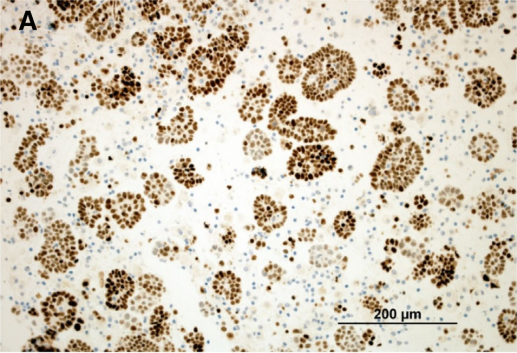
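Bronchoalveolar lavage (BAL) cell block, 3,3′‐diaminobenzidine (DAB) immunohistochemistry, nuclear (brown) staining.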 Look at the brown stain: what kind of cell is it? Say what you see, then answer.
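Cells lie in cohesive rounded clusters. Nuclei within the clusters are stained brown. Scattered small single cells in the background have blue nuclei. So: tumour cells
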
